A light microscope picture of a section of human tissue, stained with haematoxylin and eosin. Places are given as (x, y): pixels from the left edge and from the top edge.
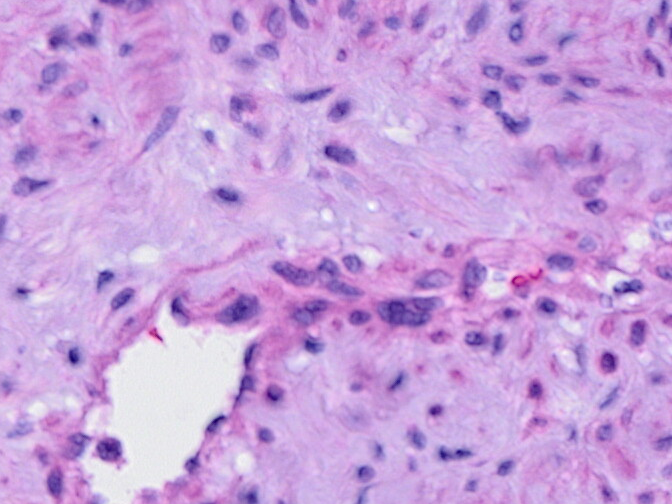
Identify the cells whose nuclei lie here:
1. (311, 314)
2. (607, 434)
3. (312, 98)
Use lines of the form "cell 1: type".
cell 1: endothelial cell
cell 2: smooth muscle cell
cell 3: fibroblast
